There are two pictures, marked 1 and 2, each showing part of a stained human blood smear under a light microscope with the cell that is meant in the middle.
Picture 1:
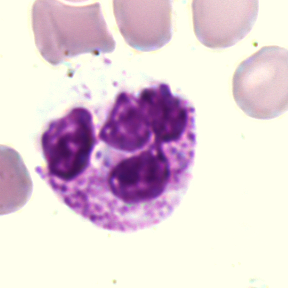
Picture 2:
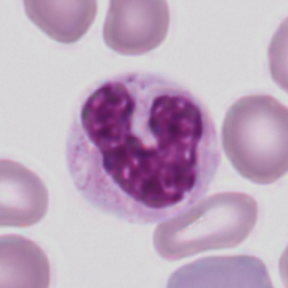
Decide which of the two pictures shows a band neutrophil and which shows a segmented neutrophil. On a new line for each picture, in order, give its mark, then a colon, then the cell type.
1: segmented neutrophil
2: band neutrophil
